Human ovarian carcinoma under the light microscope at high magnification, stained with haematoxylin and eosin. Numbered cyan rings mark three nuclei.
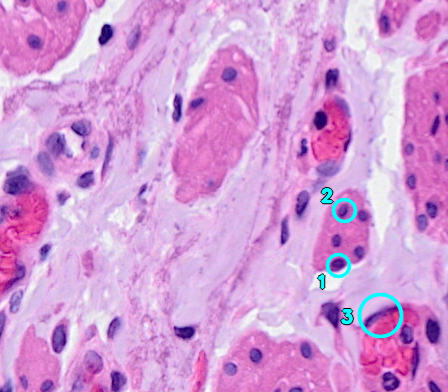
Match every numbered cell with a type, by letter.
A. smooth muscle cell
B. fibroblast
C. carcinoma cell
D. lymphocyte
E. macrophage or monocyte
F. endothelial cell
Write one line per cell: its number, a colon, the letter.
1: A
2: A
3: F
